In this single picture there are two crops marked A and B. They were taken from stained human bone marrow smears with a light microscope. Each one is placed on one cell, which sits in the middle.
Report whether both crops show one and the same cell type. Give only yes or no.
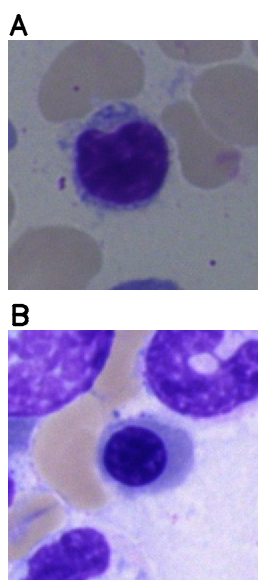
no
